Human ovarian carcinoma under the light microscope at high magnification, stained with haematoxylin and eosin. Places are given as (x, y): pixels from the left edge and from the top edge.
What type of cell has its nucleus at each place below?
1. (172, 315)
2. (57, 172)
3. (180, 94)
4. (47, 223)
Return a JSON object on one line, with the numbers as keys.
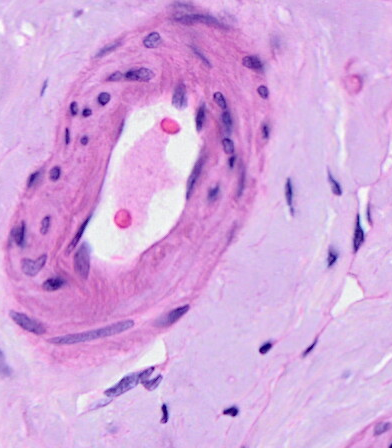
{"1": "smooth muscle cell", "2": "smooth muscle cell", "3": "endothelial cell", "4": "smooth muscle cell"}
